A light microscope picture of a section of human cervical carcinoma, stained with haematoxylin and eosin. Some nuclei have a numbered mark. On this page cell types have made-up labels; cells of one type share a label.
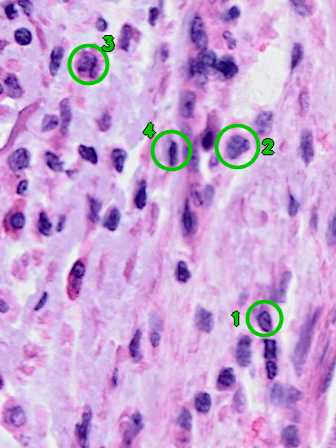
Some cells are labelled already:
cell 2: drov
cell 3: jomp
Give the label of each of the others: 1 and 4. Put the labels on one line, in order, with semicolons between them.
drov; drov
